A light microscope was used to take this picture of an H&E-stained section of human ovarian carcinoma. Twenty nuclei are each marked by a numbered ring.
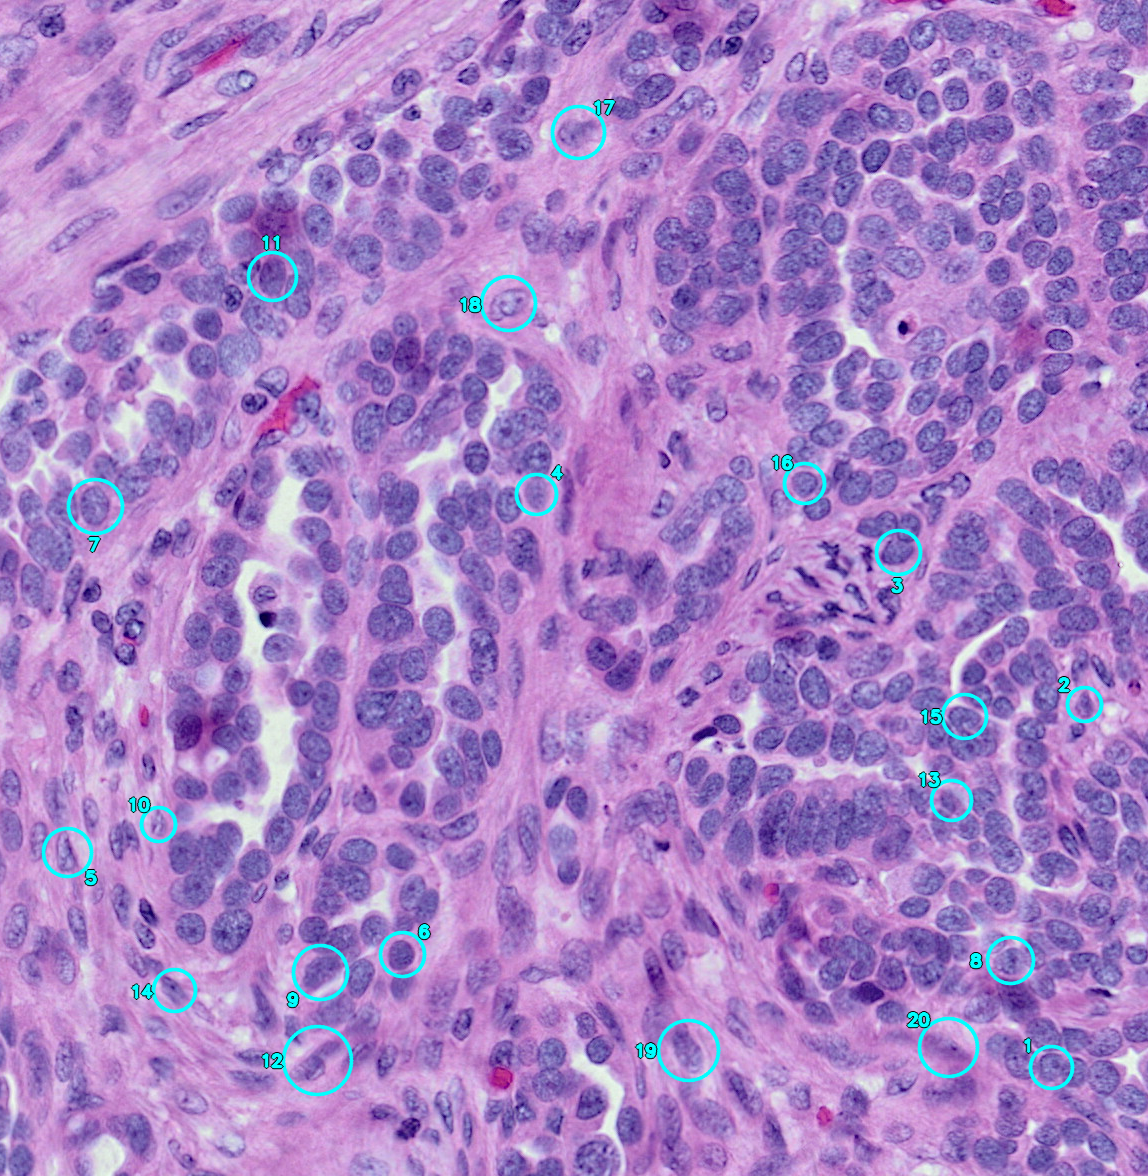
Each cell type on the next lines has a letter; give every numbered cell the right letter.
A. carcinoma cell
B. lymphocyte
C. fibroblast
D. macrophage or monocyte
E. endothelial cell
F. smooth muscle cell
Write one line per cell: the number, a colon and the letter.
1: A
2: C
3: A
4: A
5: C
6: A
7: A
8: A
9: A
10: C
11: A
12: C
13: A
14: C
15: A
16: A
17: C
18: C
19: C
20: C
